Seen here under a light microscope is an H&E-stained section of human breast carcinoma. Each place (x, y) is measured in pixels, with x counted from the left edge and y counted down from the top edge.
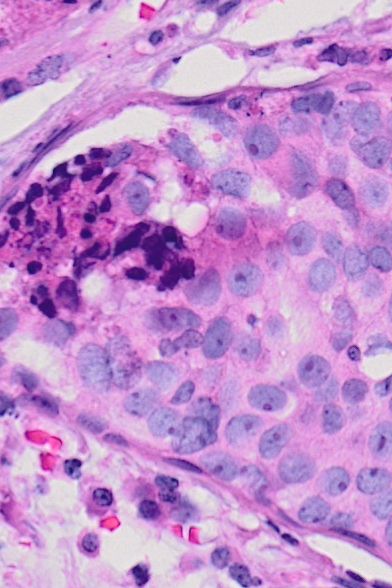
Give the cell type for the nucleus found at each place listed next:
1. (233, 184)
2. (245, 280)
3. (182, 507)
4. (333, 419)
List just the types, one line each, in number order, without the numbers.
carcinoma cell
carcinoma cell
endothelial cell
carcinoma cell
